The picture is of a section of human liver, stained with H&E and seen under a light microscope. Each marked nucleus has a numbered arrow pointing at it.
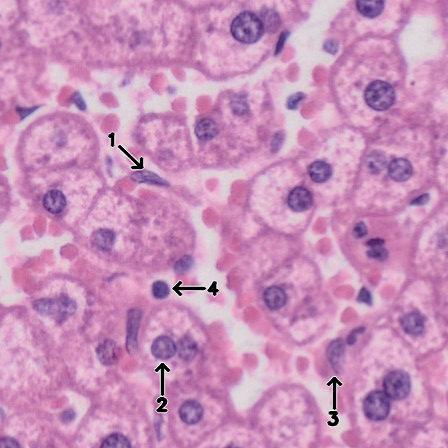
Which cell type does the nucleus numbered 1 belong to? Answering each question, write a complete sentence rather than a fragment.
At number 1, the marked cell is a Kupffer cell.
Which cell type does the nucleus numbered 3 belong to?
The identity of cell 3 is that of a Kupffer cell.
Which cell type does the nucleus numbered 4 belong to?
To a lymphocyte belongs the nucleus marked 4.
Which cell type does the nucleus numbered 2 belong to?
The cell whose nucleus carries the number 2 is a hepatocyte.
